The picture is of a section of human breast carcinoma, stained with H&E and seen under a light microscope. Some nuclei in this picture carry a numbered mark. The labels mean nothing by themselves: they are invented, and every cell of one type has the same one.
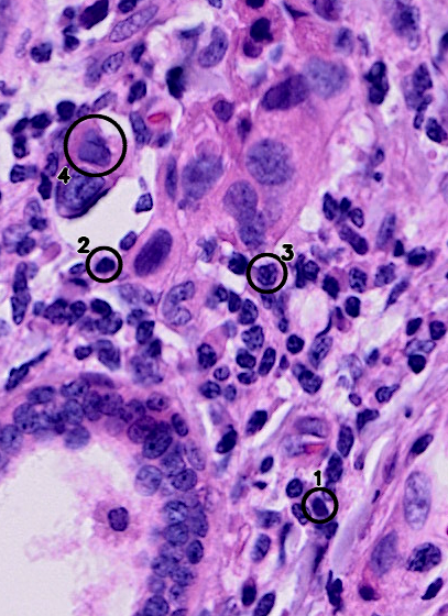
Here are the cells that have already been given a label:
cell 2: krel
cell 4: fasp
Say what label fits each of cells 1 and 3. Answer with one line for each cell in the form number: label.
1: krel
3: krel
